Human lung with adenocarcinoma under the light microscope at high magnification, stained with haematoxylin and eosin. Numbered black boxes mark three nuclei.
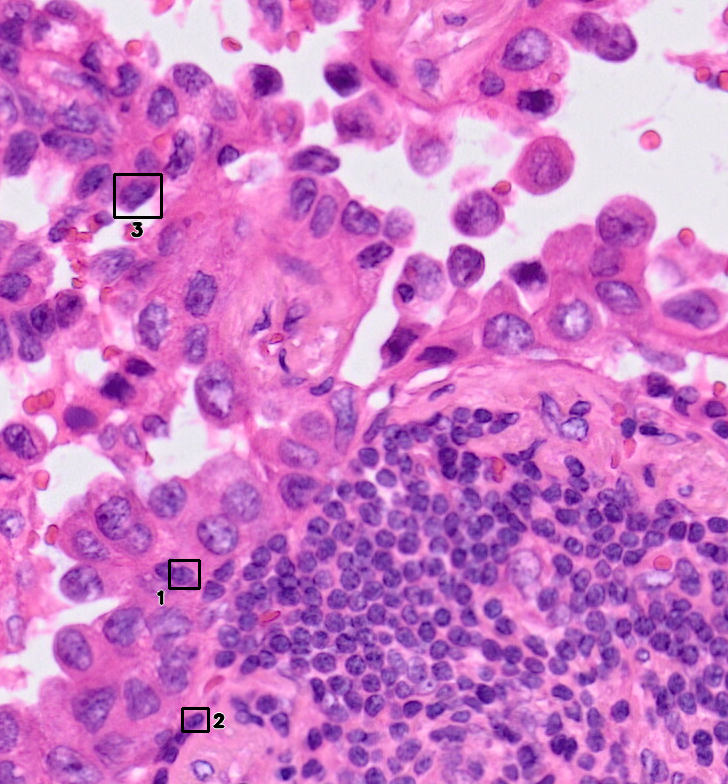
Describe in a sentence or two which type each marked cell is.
Cell 1 is a lymphocyte, cell 2 is a lymphocyte and cell 3 is a carcinoma cell.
